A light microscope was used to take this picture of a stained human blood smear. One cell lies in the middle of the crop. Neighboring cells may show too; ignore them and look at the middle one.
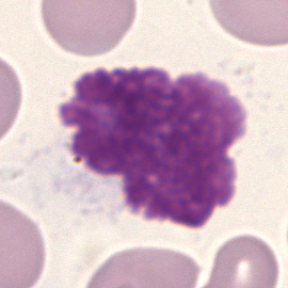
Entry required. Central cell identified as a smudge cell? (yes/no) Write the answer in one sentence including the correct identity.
Yes, this central cell is a smudge cell.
